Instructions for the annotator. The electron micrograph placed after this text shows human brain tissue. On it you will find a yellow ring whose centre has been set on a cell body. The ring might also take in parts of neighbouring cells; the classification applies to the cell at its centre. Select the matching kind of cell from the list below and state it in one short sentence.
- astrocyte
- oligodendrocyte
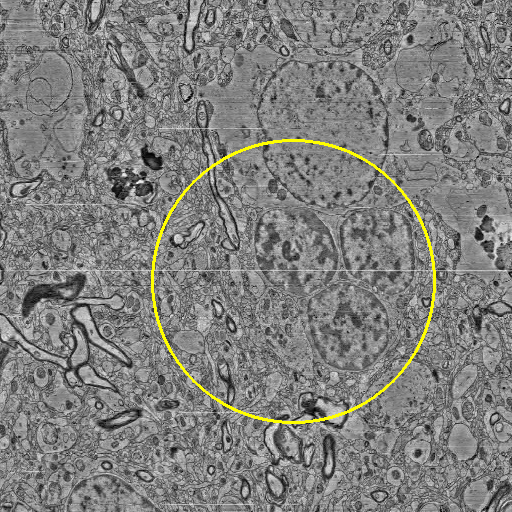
The ring is drawn on the cell body of an oligodendrocyte.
